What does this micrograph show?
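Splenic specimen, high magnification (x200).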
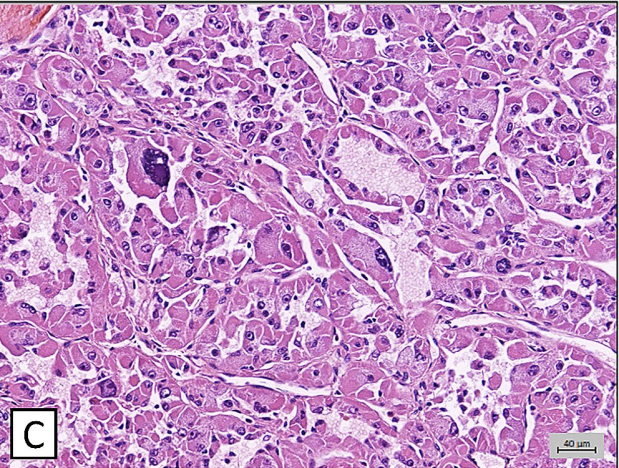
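Sheets and nests of large polygonal tumour cells with abundant pink, granular cytoplasm lie between thin vascular channels. Most nuclei are round with prominent nucleoli, but scattered cells carry much larger, dark, irregular nuclei, a focal marked nuclear atypia.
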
